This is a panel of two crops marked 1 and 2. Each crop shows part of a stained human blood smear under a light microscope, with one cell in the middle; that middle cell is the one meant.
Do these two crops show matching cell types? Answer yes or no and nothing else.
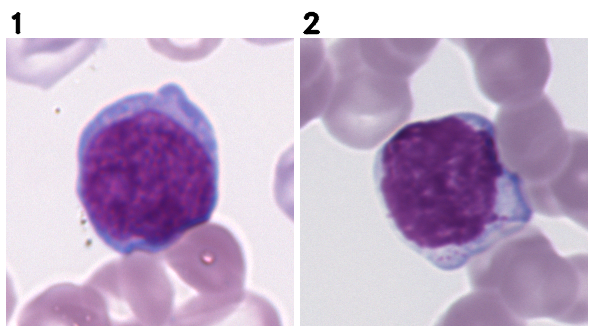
no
